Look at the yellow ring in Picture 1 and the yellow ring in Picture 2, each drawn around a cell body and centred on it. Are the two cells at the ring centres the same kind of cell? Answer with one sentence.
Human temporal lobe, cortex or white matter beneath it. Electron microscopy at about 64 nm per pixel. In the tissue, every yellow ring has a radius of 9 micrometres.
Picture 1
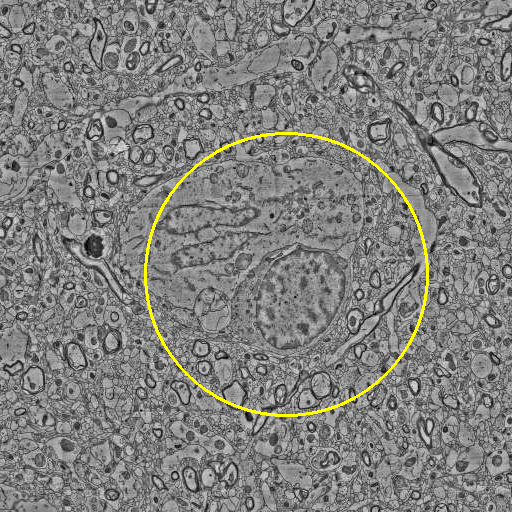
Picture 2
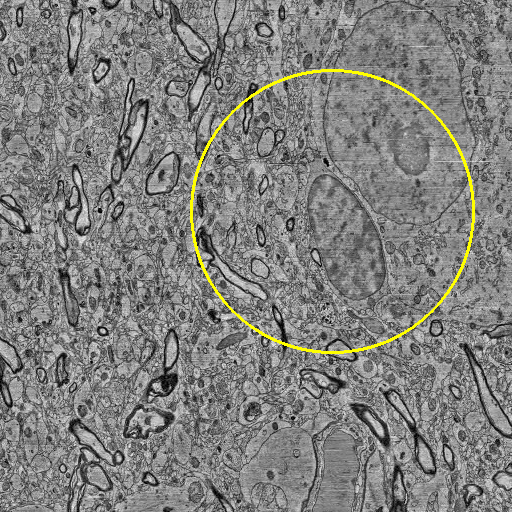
Yes, both are the same kind of cell.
